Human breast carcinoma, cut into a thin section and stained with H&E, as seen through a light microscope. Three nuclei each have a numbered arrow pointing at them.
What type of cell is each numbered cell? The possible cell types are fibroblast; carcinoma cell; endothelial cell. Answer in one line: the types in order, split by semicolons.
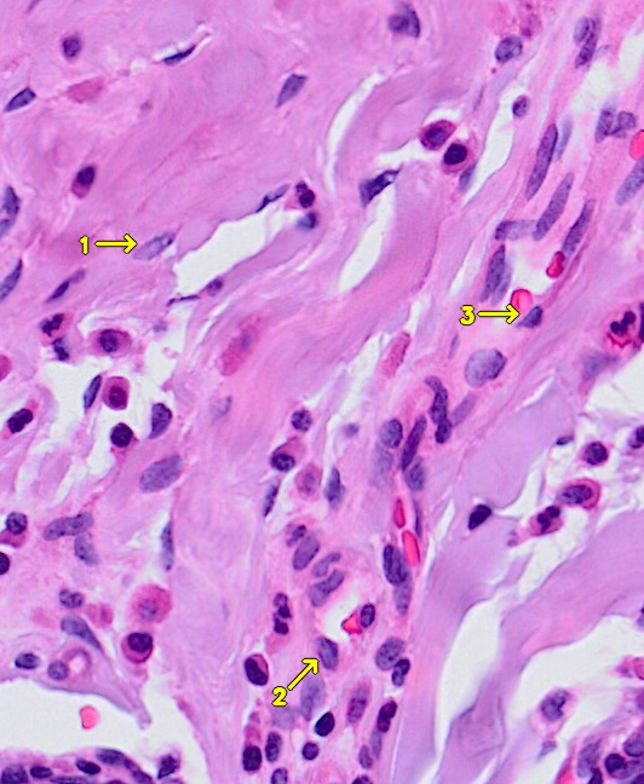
fibroblast; endothelial cell; endothelial cell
